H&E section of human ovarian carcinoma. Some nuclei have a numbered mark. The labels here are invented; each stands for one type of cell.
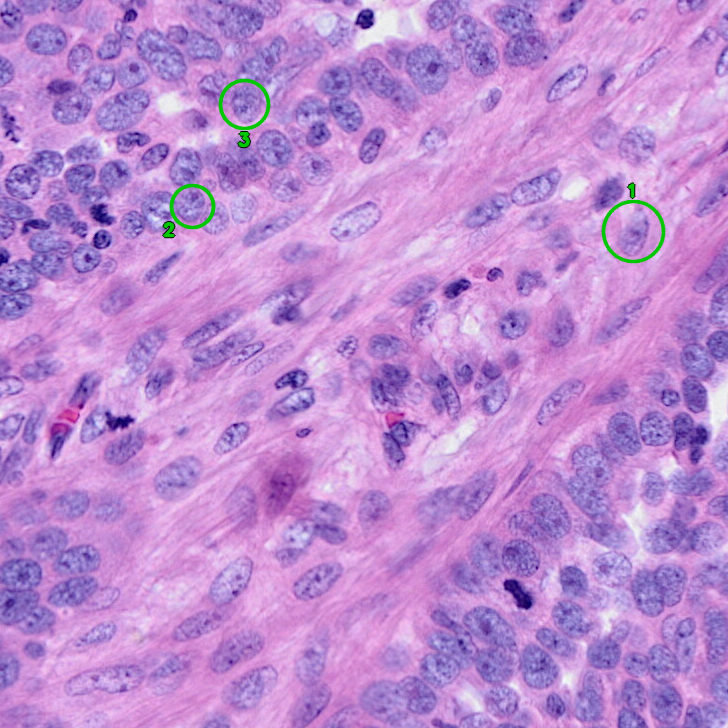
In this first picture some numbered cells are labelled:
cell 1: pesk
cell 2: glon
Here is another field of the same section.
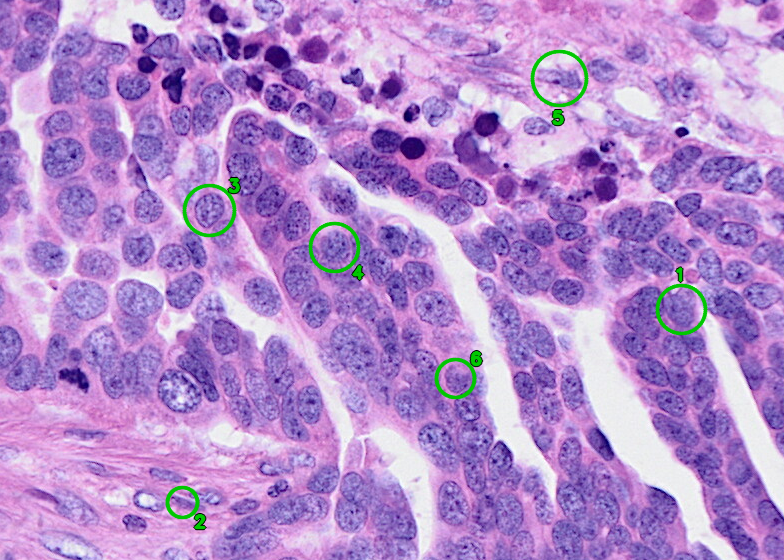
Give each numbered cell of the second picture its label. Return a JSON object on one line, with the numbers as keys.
{"1": "glon", "2": "pesk", "3": "glon", "4": "glon", "5": "pesk", "6": "glon"}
